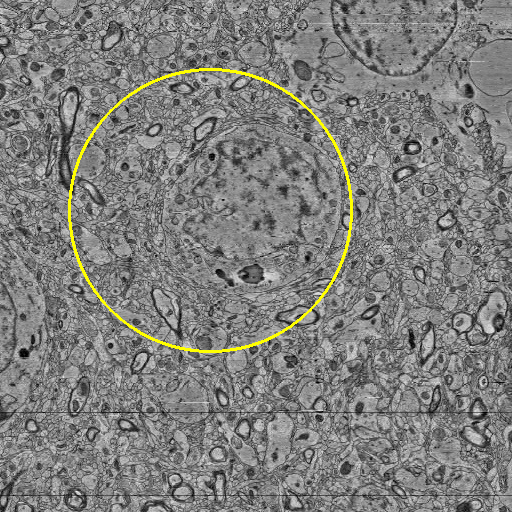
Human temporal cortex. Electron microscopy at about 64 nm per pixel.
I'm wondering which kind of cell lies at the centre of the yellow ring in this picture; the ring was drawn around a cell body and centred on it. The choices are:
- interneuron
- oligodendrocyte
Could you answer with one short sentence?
At the centre of the ring lies an interneuron.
